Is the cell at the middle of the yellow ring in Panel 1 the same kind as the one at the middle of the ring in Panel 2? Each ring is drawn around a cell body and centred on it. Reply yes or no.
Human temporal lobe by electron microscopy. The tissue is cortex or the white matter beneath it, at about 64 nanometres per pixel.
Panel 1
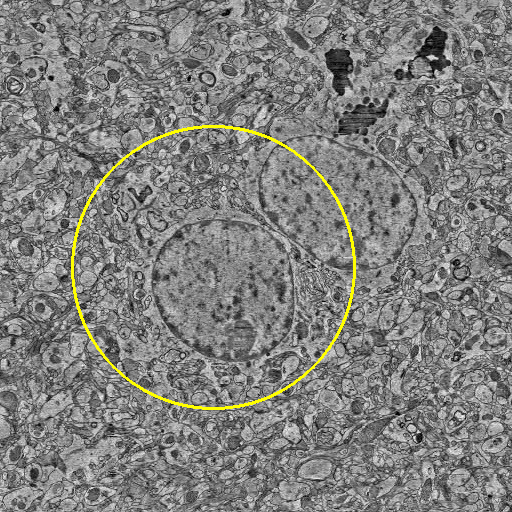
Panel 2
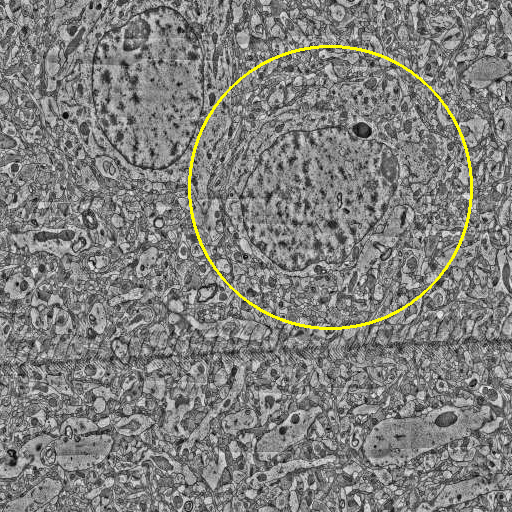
no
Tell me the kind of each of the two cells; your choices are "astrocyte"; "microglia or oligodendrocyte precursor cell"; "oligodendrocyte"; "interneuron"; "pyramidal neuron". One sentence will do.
The ringed cell is an astrocyte in the first picture and an interneuron in the second picture.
